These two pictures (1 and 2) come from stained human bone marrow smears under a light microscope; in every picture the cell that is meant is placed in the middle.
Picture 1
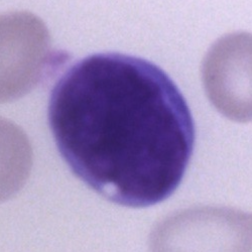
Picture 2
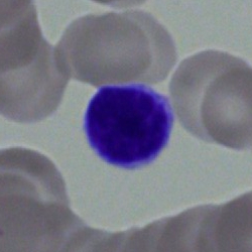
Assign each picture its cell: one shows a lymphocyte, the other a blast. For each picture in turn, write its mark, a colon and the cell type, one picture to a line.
1: blast
2: lymphocyte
